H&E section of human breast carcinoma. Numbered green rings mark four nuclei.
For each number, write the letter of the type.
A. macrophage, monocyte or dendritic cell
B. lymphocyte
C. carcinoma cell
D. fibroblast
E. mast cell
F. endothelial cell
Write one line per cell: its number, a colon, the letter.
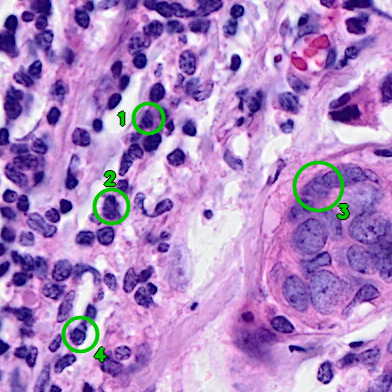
1: B
2: B
3: C
4: B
